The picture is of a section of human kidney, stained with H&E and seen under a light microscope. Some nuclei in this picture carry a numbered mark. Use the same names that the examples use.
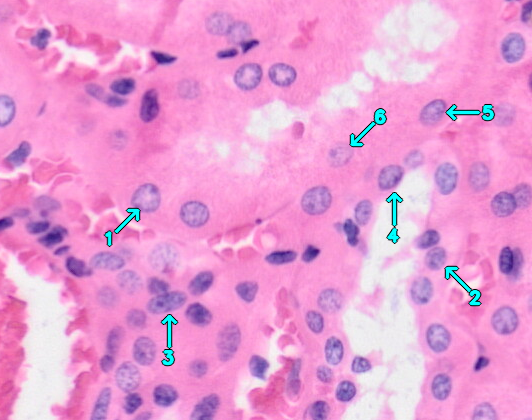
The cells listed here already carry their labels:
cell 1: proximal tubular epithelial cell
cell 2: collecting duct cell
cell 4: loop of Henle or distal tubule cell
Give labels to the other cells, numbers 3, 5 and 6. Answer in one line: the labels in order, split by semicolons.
collecting duct cell; proximal tubular epithelial cell; proximal tubular epithelial cell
